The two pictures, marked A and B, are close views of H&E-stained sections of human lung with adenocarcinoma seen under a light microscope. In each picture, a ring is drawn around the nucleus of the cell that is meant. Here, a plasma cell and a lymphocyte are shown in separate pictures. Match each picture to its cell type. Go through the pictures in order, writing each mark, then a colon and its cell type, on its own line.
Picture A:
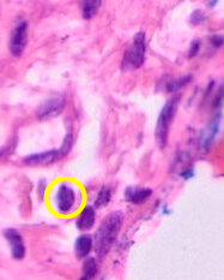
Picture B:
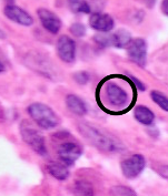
A: lymphocyte
B: plasma cell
